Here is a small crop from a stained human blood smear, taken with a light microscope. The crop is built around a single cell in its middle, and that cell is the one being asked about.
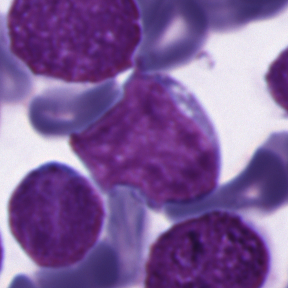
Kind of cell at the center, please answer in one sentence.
The middle cell in this particular crop is a myeloblast.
